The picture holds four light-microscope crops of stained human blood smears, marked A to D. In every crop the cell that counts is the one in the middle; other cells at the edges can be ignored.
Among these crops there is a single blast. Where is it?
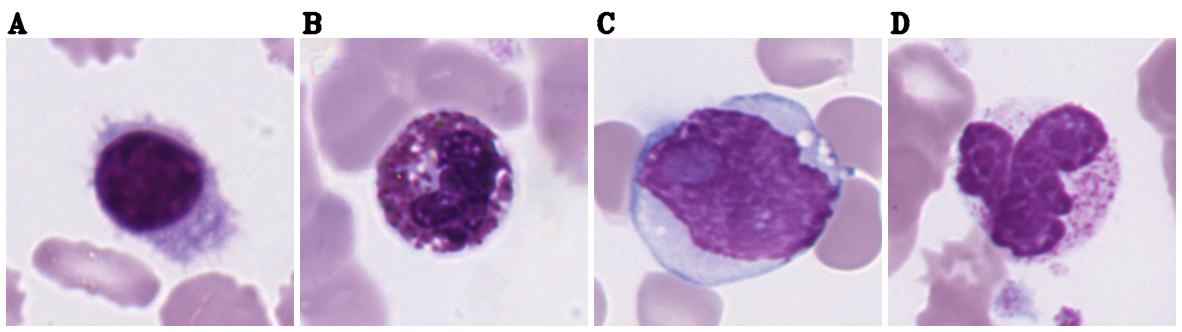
C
